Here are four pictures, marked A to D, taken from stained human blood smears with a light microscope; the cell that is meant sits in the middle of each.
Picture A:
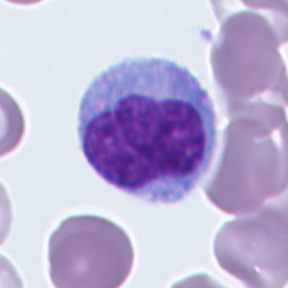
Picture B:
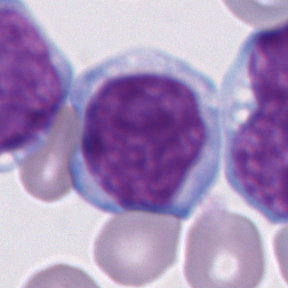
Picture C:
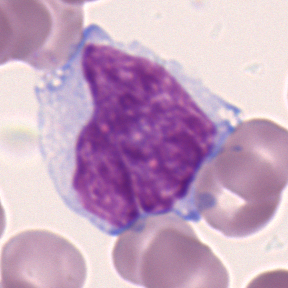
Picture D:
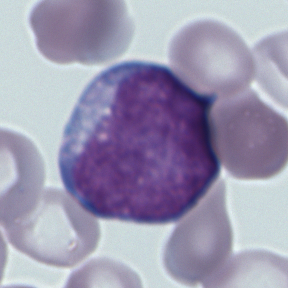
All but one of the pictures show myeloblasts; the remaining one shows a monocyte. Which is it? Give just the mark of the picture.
A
